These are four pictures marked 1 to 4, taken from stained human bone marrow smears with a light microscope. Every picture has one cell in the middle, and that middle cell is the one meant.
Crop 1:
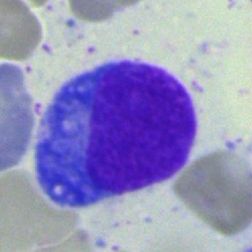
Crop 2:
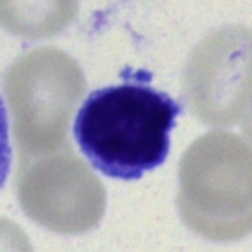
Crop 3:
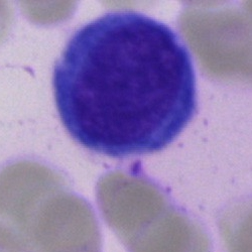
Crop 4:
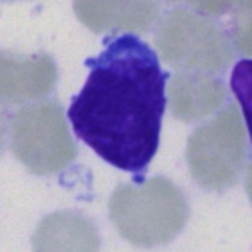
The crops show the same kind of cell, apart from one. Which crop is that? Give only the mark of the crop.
2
